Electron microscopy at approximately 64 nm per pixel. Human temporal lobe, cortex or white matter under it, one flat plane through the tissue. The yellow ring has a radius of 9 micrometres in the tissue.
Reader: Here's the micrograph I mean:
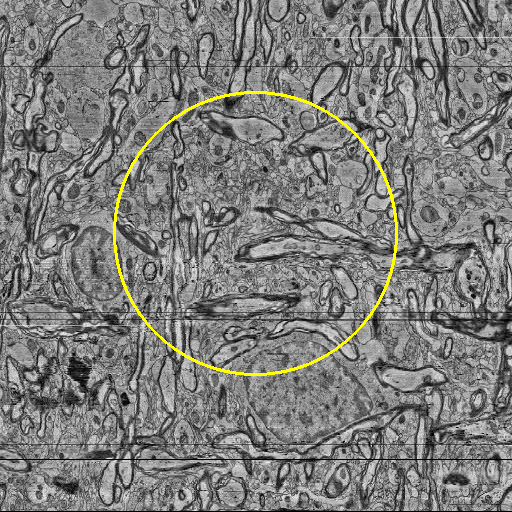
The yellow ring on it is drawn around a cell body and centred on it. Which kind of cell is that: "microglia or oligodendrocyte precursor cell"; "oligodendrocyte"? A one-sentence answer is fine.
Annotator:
The ring is centred on a microglial cell or oligodendrocyte precursor cell.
